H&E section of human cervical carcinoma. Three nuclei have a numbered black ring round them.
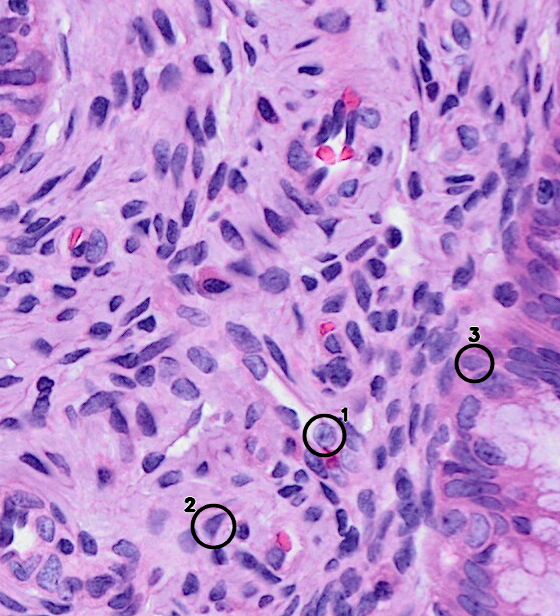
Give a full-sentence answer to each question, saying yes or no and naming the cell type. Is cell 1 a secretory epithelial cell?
No, it is an endothelial cell that is marked with number 1, not a secretory epithelial cell.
